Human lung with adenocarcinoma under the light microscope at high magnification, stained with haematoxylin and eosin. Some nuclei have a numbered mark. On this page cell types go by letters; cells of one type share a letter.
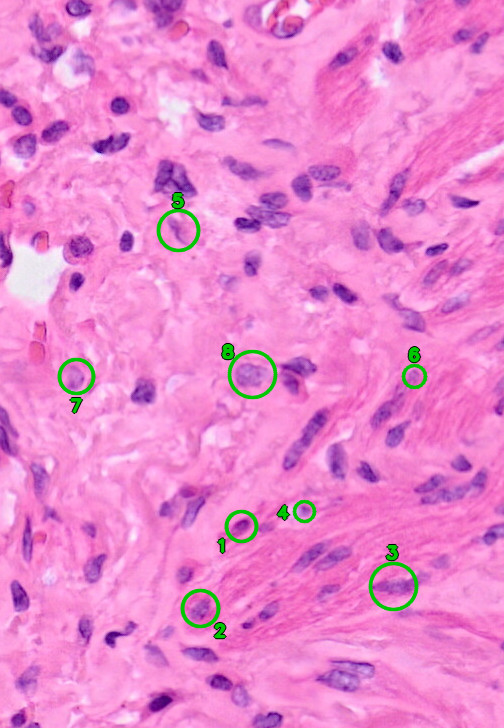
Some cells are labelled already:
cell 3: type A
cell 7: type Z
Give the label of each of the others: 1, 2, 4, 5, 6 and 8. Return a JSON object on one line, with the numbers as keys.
{"1": "type A", "2": "type A", "4": "type A", "5": "type Z", "6": "type A", "8": "type Z"}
